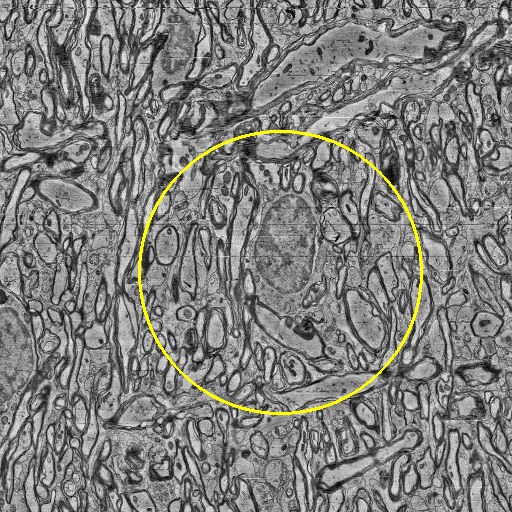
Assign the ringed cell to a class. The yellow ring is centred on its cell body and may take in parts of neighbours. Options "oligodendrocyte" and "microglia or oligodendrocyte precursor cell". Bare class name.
oligodendrocyte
